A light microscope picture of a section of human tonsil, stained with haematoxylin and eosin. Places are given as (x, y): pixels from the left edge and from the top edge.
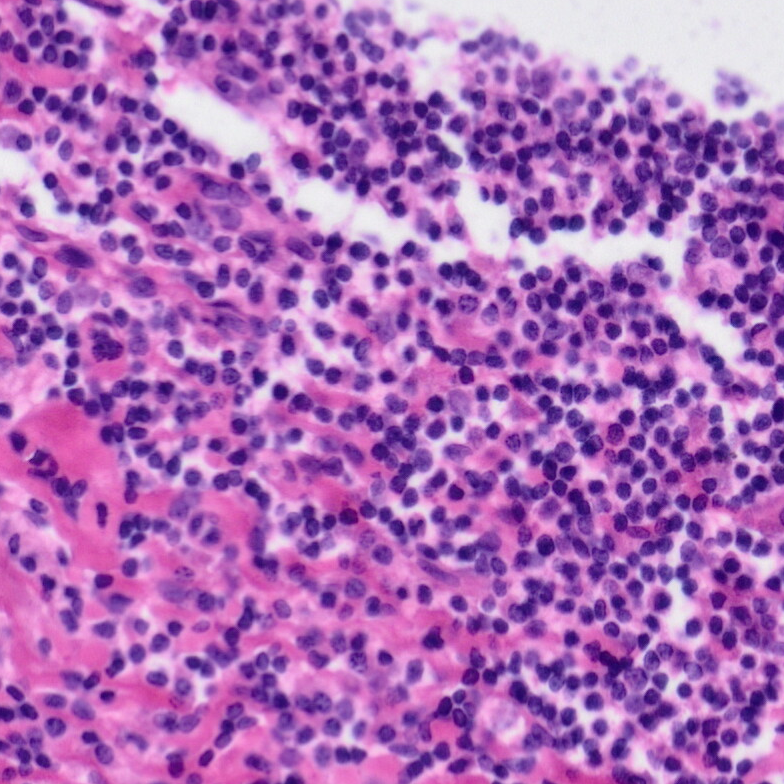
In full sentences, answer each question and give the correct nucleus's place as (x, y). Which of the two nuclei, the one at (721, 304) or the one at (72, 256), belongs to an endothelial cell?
Lying within an endothelial cell is the nucleus at (72, 256).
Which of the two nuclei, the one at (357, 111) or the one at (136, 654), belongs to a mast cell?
It is at (136, 654) that the nucleus of a mast cell is found.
